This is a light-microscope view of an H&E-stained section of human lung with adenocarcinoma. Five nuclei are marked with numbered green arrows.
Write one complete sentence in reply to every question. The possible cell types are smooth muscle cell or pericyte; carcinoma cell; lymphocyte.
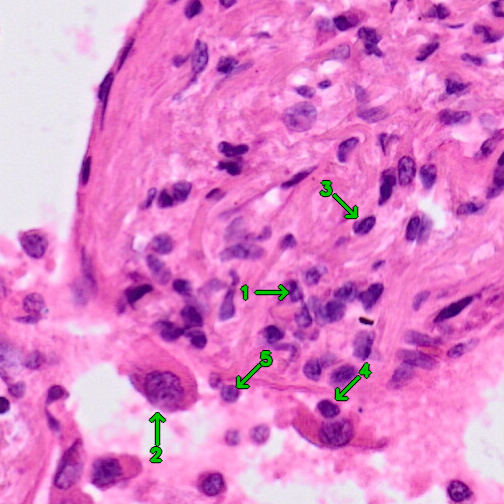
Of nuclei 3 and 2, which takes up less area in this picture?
Number 3 is smaller, since number 2 takes up about 4 times as much area.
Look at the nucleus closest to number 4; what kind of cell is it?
Number 4 lies closest to the nucleus of a carcinoma cell.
